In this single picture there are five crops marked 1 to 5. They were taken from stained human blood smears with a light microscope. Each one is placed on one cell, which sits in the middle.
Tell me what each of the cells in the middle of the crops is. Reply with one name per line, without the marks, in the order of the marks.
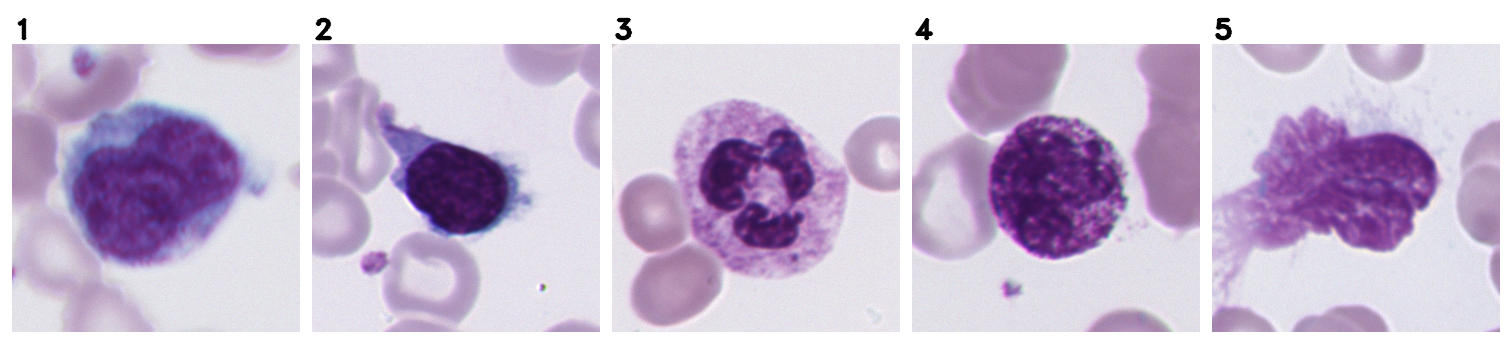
monocyte
typical lymphocyte
segmented neutrophil
basophil
smudge cell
